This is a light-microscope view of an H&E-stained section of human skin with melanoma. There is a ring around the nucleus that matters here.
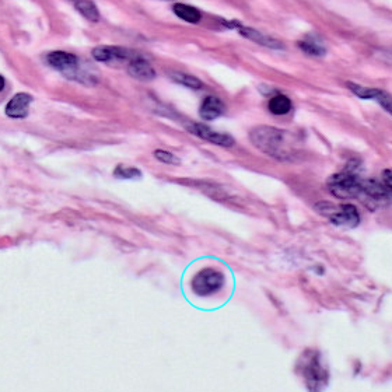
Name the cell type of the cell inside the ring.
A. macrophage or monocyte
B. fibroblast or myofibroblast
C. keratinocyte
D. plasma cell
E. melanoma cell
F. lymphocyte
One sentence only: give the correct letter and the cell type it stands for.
It is correct to say that the cell inside the ring is a lymphocyte, as option F does.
